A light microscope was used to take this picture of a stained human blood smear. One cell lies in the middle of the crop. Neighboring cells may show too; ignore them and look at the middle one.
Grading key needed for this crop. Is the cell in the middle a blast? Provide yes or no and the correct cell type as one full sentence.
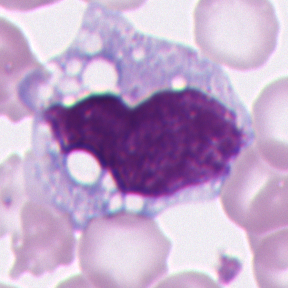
No, this cell in the middle is a monocyte, so it is not a blast.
